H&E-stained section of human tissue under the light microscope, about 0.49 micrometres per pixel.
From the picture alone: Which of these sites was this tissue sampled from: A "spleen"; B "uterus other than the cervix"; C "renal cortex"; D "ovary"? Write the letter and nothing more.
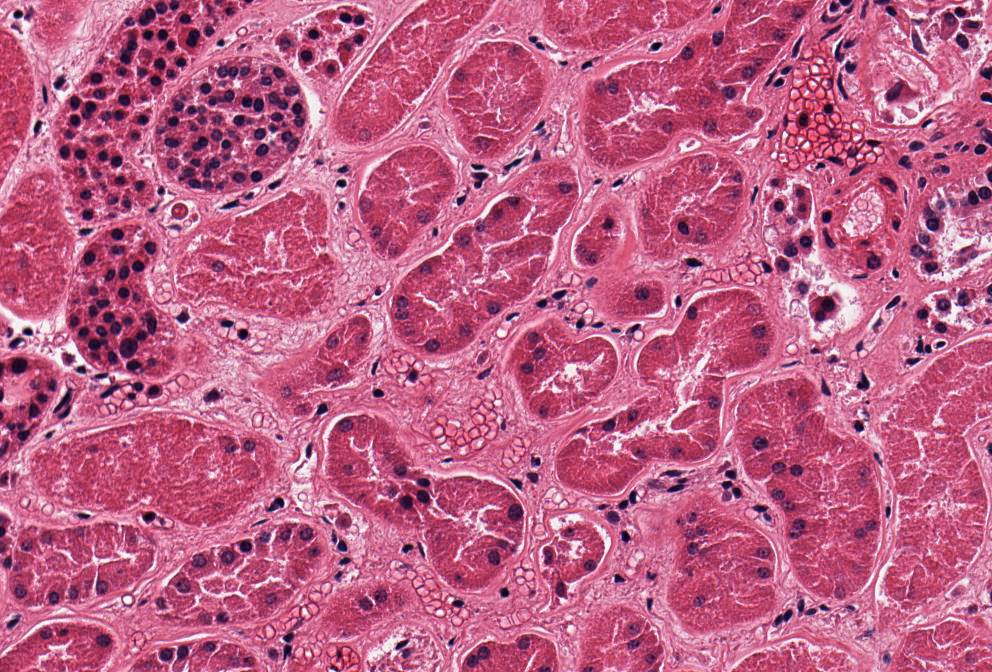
C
